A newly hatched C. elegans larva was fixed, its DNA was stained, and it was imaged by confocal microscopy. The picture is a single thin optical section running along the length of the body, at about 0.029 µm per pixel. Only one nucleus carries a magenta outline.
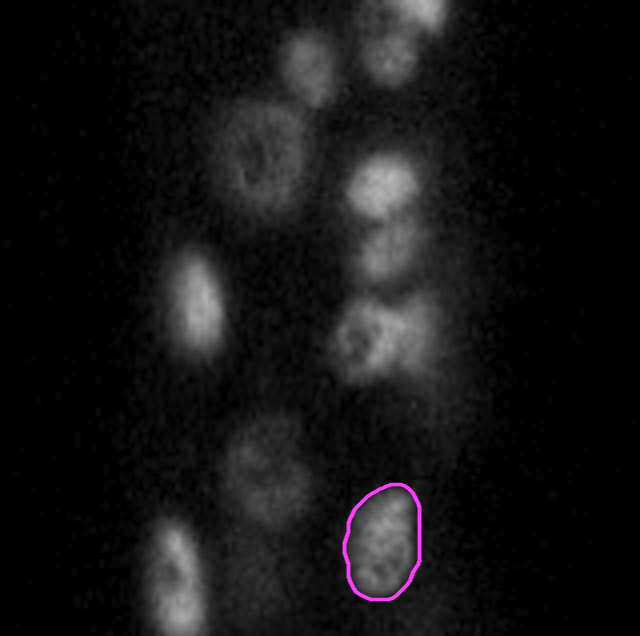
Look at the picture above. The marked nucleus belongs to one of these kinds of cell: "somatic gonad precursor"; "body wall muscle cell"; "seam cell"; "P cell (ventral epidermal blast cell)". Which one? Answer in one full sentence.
This nucleus is from a P cell (ventral epidermal blast cell).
